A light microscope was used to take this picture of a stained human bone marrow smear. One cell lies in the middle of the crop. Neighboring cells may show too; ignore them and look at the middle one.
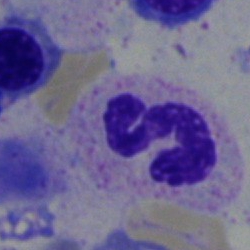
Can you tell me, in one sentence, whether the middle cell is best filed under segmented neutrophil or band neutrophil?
The crop centres on a single cell, and that cell is a segmented neutrophil.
